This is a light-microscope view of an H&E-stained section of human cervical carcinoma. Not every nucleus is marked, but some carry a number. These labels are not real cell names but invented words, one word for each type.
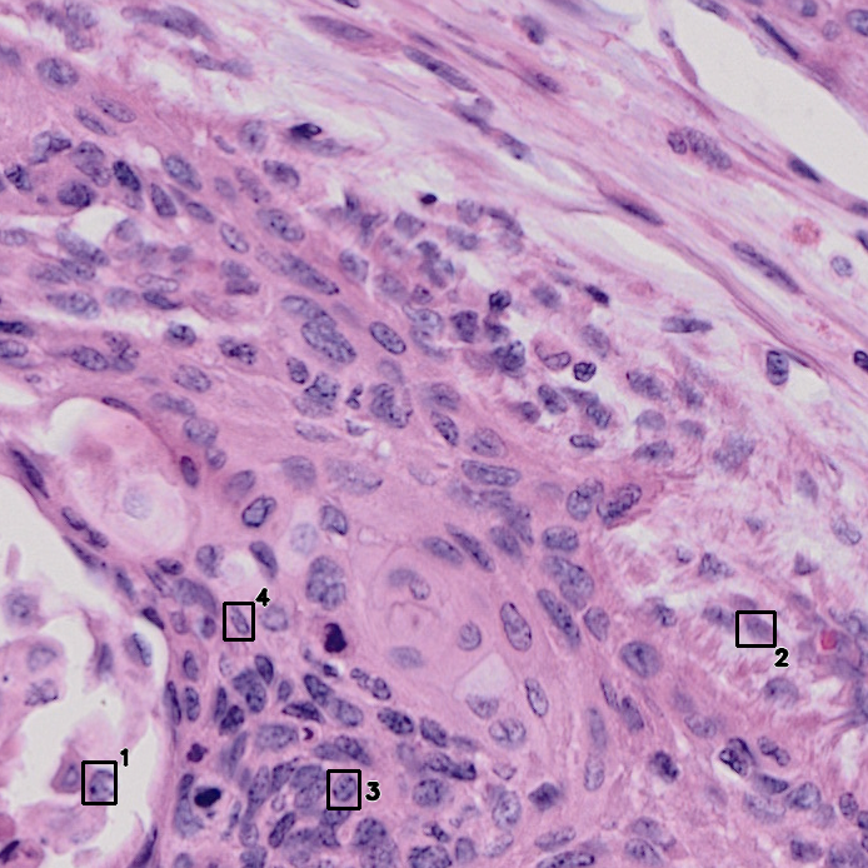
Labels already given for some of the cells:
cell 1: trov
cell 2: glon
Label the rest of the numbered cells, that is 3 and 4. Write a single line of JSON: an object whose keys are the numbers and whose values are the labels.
{"3": "trov", "4": "trov"}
